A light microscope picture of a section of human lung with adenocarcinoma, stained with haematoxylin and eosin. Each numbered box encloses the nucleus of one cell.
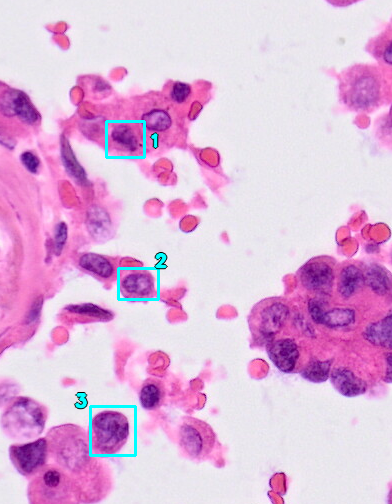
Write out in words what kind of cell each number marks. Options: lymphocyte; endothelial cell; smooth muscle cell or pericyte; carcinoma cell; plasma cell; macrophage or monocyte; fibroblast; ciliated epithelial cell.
Cells 1 and 2 are macrophages or monocytes. Cell 3 is a carcinoma cell.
